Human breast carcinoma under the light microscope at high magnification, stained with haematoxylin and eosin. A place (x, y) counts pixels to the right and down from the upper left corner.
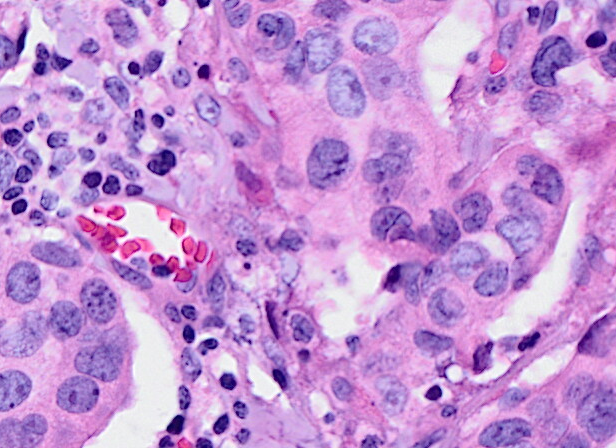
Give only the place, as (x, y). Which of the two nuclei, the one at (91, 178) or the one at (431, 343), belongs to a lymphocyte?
(91, 178)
